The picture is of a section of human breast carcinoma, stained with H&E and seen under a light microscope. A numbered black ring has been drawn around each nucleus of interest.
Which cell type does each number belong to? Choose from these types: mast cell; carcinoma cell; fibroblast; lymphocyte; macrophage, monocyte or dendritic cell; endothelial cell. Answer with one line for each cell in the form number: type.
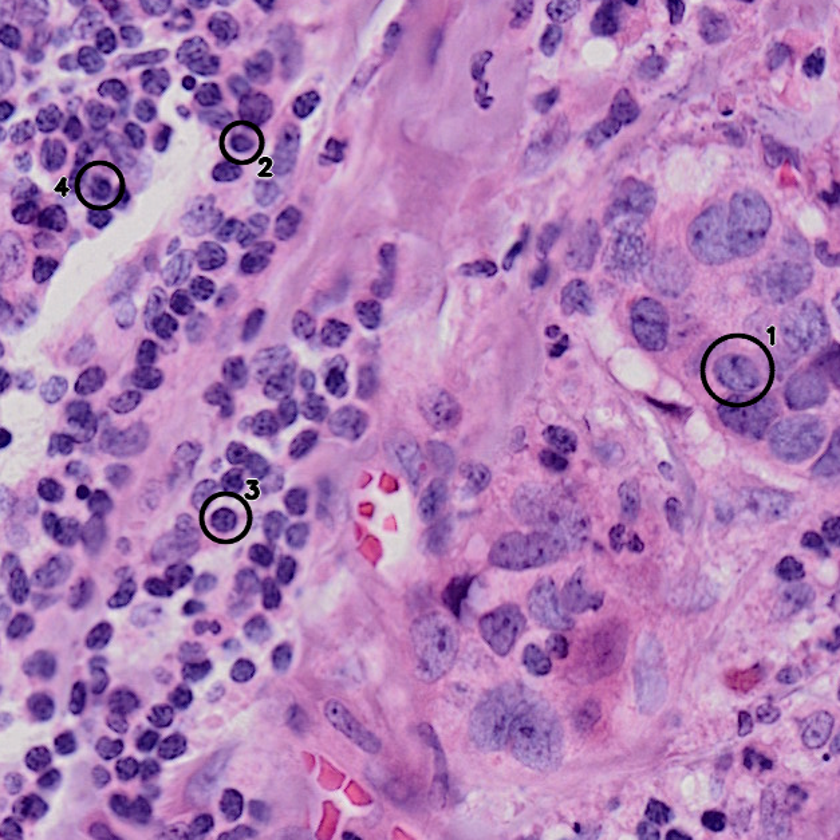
1: carcinoma cell
2: lymphocyte
3: lymphocyte
4: lymphocyte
